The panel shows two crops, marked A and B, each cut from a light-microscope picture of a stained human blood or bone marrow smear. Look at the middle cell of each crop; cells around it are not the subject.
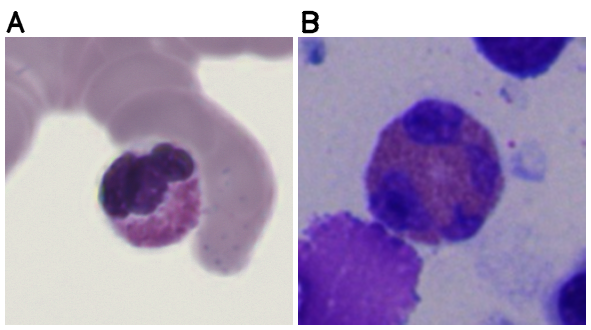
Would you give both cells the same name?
yes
